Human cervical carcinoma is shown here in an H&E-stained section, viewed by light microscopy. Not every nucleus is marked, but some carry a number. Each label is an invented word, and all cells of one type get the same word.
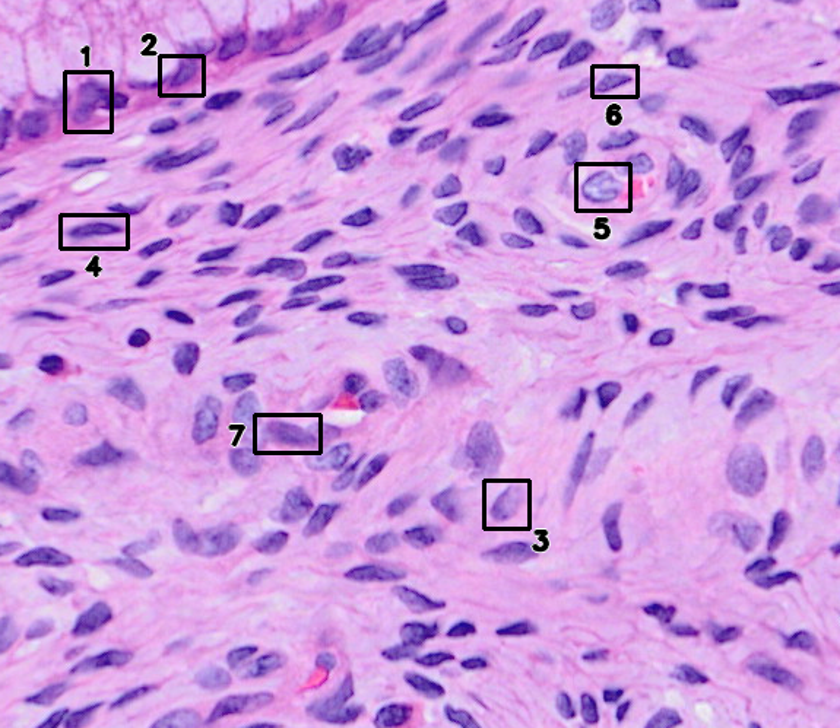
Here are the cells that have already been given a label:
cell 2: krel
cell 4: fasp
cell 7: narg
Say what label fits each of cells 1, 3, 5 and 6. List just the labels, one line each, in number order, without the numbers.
krel
fasp
narg
fasp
